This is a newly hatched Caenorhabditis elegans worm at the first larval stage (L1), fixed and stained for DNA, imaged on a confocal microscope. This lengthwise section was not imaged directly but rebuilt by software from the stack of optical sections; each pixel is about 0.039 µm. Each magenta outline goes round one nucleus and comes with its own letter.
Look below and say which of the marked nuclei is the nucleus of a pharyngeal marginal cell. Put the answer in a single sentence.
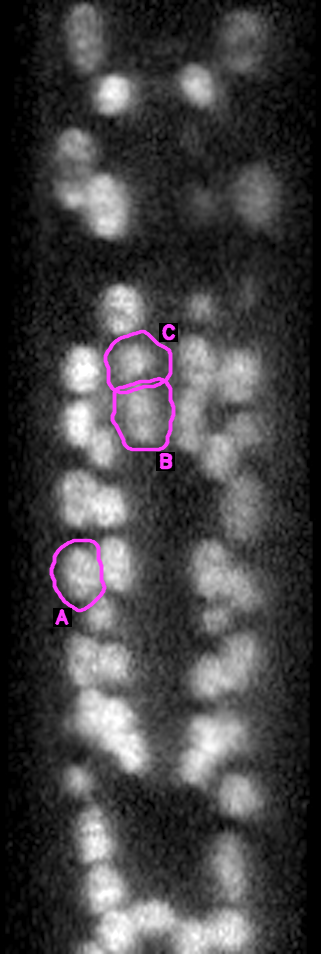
It is B that belongs to a pharyngeal marginal cell.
